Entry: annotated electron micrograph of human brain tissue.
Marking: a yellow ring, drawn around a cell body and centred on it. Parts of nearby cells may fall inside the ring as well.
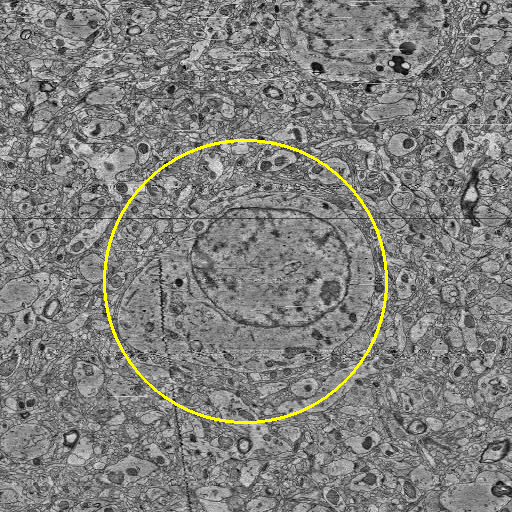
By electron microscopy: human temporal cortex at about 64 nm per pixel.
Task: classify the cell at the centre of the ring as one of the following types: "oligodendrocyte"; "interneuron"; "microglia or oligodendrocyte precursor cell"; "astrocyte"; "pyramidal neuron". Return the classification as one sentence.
The marked cell is classified as a pyramidal neuron.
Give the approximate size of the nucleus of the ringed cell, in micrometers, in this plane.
About 10 micrometres by about 8 micrometres in this plane.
